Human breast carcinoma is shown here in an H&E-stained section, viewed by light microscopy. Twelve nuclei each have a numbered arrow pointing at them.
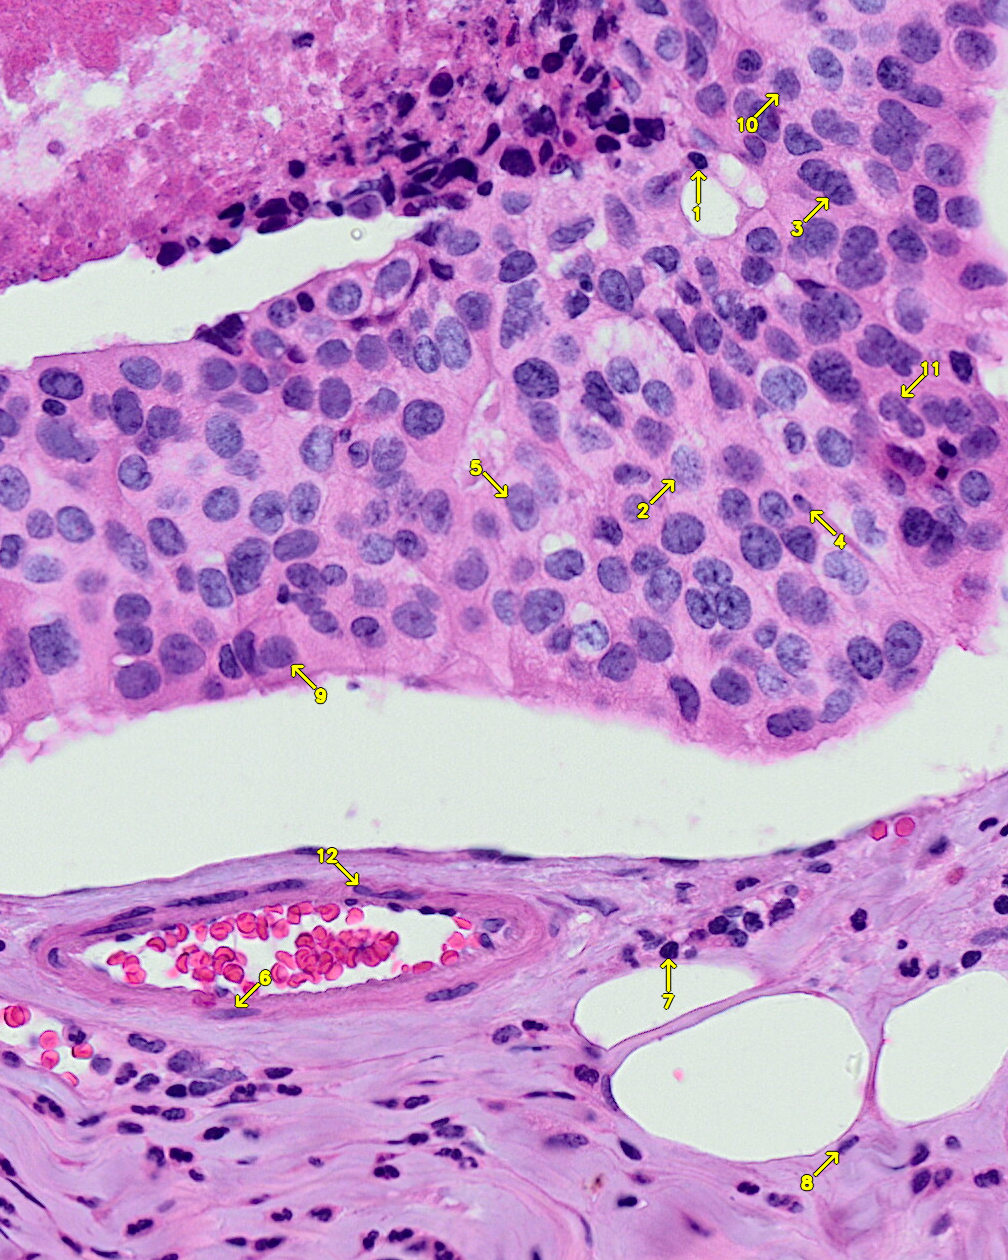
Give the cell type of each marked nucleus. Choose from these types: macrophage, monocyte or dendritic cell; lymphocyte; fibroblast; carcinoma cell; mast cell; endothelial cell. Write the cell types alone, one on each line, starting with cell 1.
lymphocyte
carcinoma cell
carcinoma cell
carcinoma cell
carcinoma cell
endothelial cell
lymphocyte
fibroblast
carcinoma cell
carcinoma cell
carcinoma cell
endothelial cell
